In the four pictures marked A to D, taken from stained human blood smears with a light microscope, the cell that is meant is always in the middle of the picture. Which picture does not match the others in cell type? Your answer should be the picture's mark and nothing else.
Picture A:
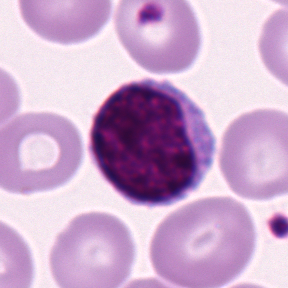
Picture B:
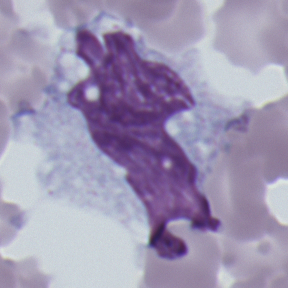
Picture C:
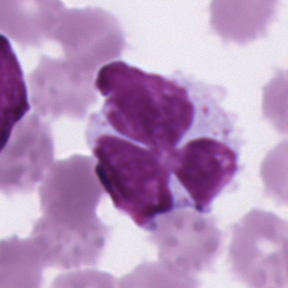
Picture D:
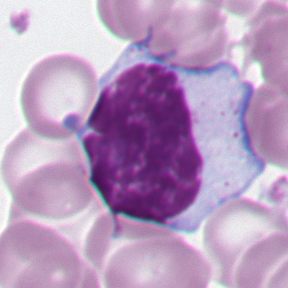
B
